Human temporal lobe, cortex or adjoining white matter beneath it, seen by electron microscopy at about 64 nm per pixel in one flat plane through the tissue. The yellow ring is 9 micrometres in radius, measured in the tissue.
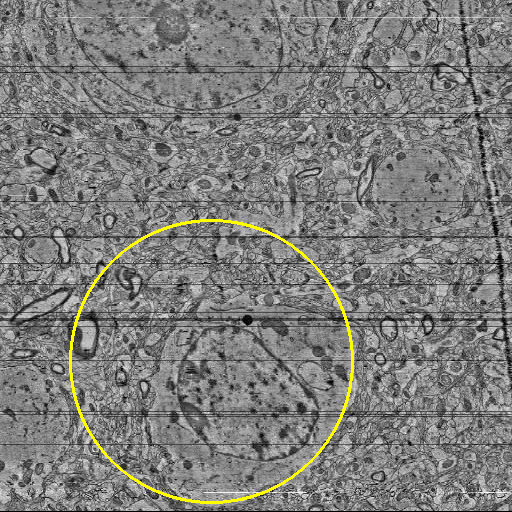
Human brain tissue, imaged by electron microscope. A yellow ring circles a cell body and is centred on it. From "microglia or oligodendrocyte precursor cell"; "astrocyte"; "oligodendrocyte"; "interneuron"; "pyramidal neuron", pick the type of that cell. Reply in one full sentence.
The cell body at the centre of the yellow ring belongs to an astrocyte.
